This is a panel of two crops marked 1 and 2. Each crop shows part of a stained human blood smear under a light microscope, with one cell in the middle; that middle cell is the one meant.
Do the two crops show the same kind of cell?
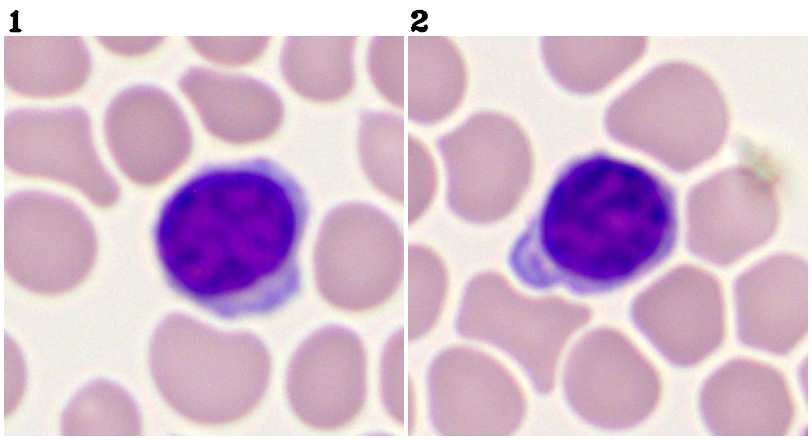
yes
